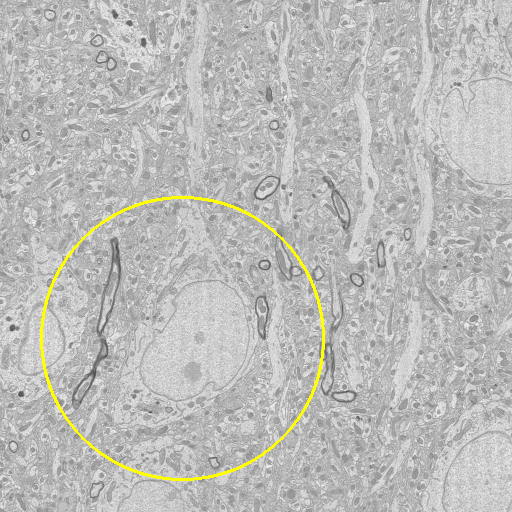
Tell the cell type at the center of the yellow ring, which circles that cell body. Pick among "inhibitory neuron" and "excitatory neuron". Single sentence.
The ring is centered on the body of an excitatory neuron.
